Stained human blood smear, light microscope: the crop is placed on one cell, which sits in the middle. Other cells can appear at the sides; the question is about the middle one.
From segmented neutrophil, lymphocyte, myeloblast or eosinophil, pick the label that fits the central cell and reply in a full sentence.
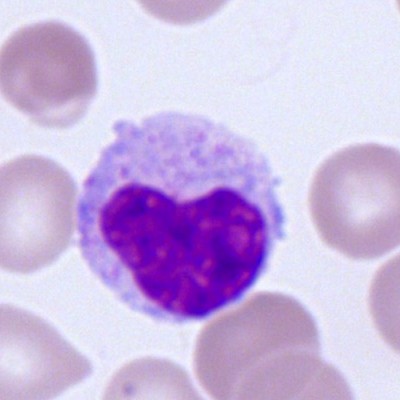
The cell at the heart of this crop is a lymphocyte.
